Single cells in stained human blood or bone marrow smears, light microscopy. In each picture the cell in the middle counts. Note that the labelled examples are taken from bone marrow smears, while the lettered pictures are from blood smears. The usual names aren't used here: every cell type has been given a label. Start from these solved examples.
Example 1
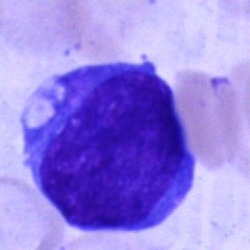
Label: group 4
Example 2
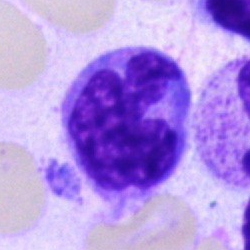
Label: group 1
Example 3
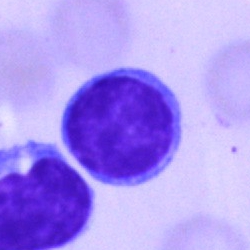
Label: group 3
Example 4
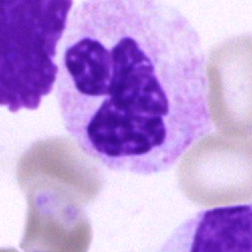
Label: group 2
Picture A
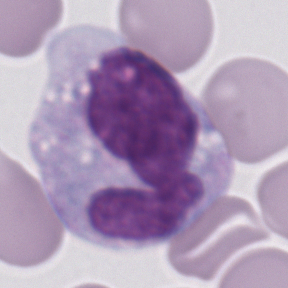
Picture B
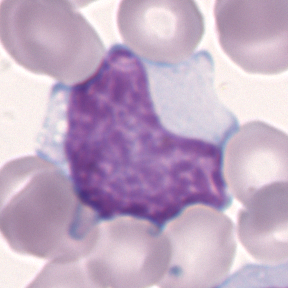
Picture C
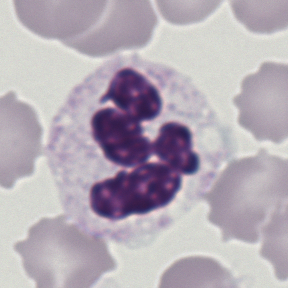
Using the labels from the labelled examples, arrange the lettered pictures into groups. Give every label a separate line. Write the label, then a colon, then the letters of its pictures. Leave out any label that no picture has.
group 4: B
group 1: A
group 2: C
